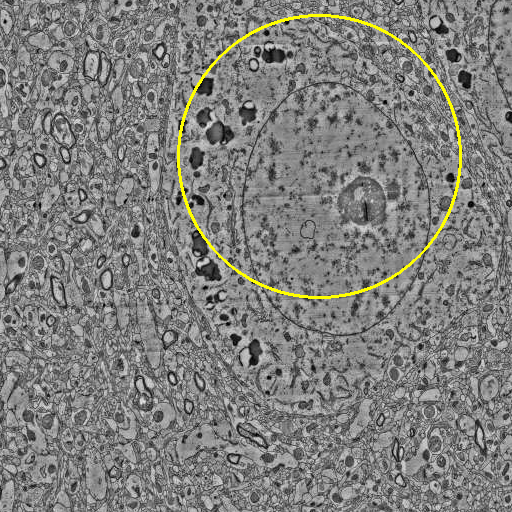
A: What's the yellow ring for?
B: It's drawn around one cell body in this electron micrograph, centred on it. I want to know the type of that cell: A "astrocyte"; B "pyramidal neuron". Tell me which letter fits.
B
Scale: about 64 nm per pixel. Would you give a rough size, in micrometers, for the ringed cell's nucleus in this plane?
About 16 by 12 micrometres in this plane.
